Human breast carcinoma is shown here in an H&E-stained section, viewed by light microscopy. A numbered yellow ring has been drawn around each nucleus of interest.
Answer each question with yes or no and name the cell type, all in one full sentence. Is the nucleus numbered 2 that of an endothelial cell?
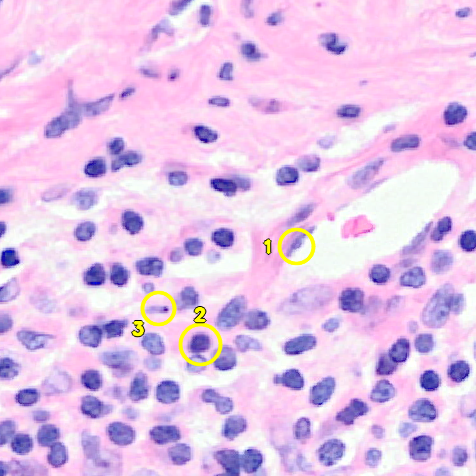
No, the cell carrying number 2 is a lymphocyte rather than an endothelial cell.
